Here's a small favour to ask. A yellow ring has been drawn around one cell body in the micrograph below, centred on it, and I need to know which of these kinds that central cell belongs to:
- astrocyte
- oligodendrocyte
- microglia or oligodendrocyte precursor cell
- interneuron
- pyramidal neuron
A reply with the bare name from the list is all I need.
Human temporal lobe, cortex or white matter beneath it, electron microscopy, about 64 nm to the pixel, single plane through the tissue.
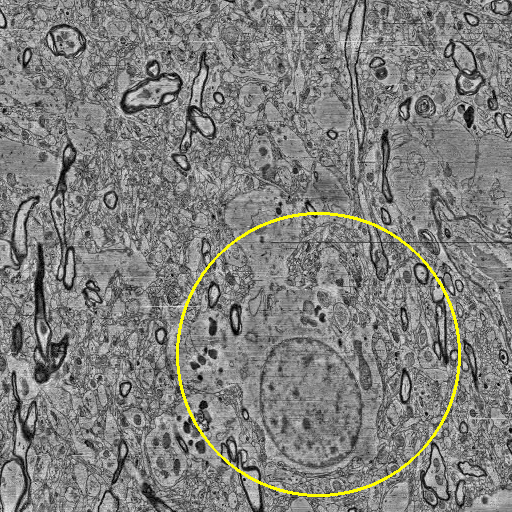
astrocyte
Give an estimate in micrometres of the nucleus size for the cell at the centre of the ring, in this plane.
In this plane, the nucleus of the cell at the centre of the ring measures about 9 by 6 micrometres.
